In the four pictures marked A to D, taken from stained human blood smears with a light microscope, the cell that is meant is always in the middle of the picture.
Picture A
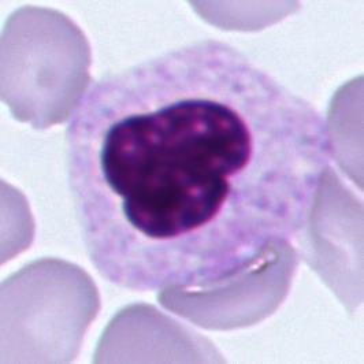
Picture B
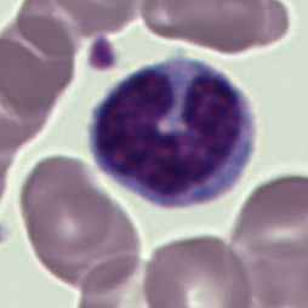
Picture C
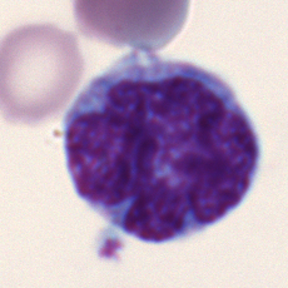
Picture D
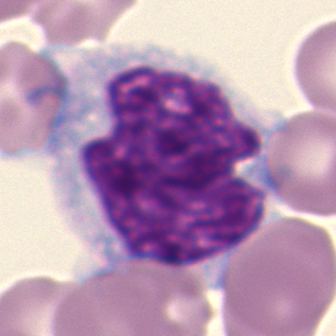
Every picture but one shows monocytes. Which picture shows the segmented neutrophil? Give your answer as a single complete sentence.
Picture A is the one that shows the segmented neutrophil.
